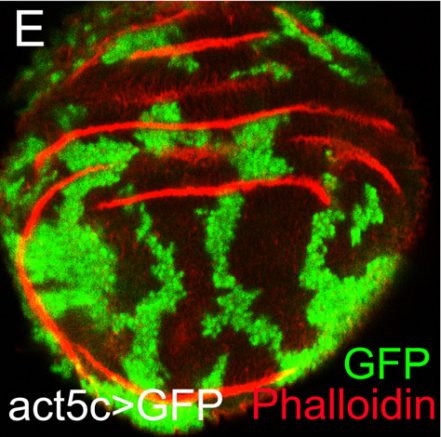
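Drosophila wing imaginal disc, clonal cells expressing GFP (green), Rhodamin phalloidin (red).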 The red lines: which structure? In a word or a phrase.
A: Folds in the epithelium.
